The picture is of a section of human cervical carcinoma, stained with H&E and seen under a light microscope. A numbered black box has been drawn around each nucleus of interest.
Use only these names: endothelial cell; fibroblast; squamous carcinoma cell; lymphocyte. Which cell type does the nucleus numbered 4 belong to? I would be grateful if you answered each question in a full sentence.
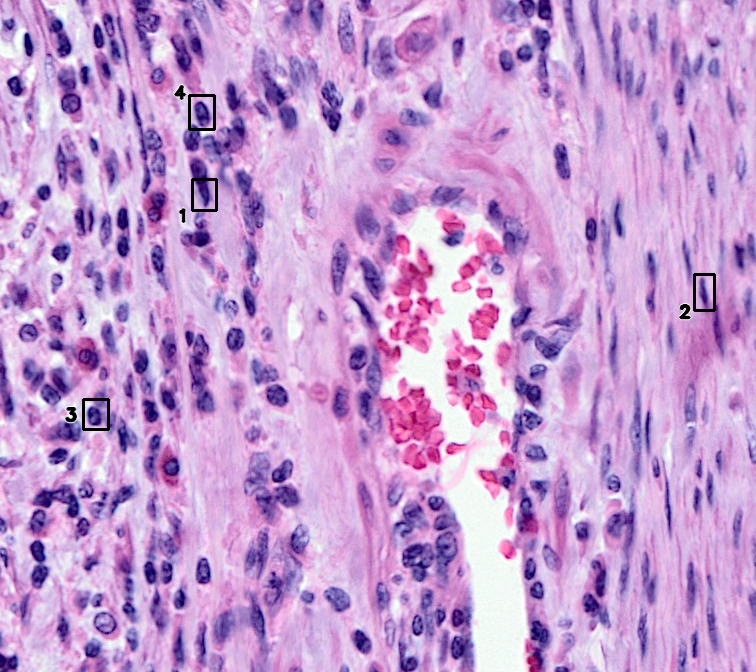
The cell pointed out by number 4 is a lymphocyte.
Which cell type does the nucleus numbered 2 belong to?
Heads up, the cell numbered 2 is a fibroblast.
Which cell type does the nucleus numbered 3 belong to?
Here, the cell given the number 3 is a lymphocyte.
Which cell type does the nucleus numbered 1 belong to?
Of the numbered cells, the one labelled 1 is a lymphocyte.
